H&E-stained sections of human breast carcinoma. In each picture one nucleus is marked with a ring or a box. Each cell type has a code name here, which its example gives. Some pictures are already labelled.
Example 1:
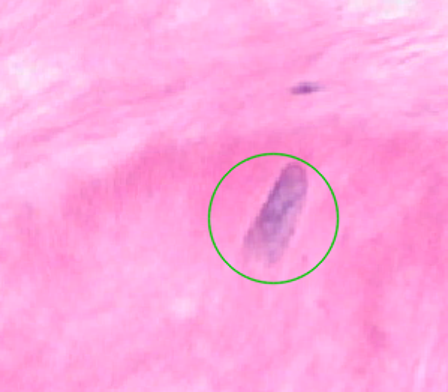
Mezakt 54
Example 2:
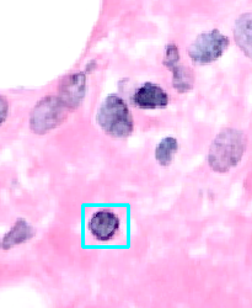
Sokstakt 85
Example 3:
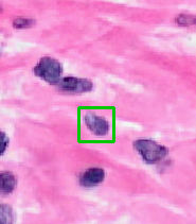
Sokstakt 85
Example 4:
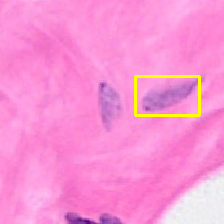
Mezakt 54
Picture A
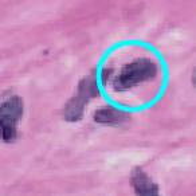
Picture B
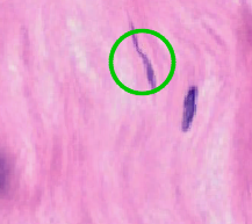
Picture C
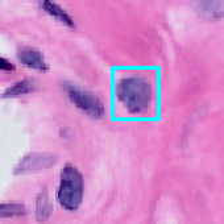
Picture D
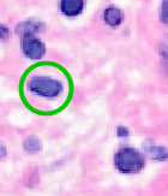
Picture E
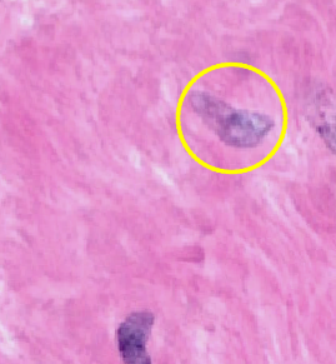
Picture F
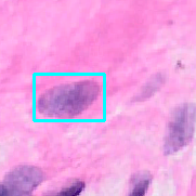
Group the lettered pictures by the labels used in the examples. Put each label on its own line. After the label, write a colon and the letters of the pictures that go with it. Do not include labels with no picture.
Mezakt 54: B, E, F
Sokstakt 85: A, C, D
